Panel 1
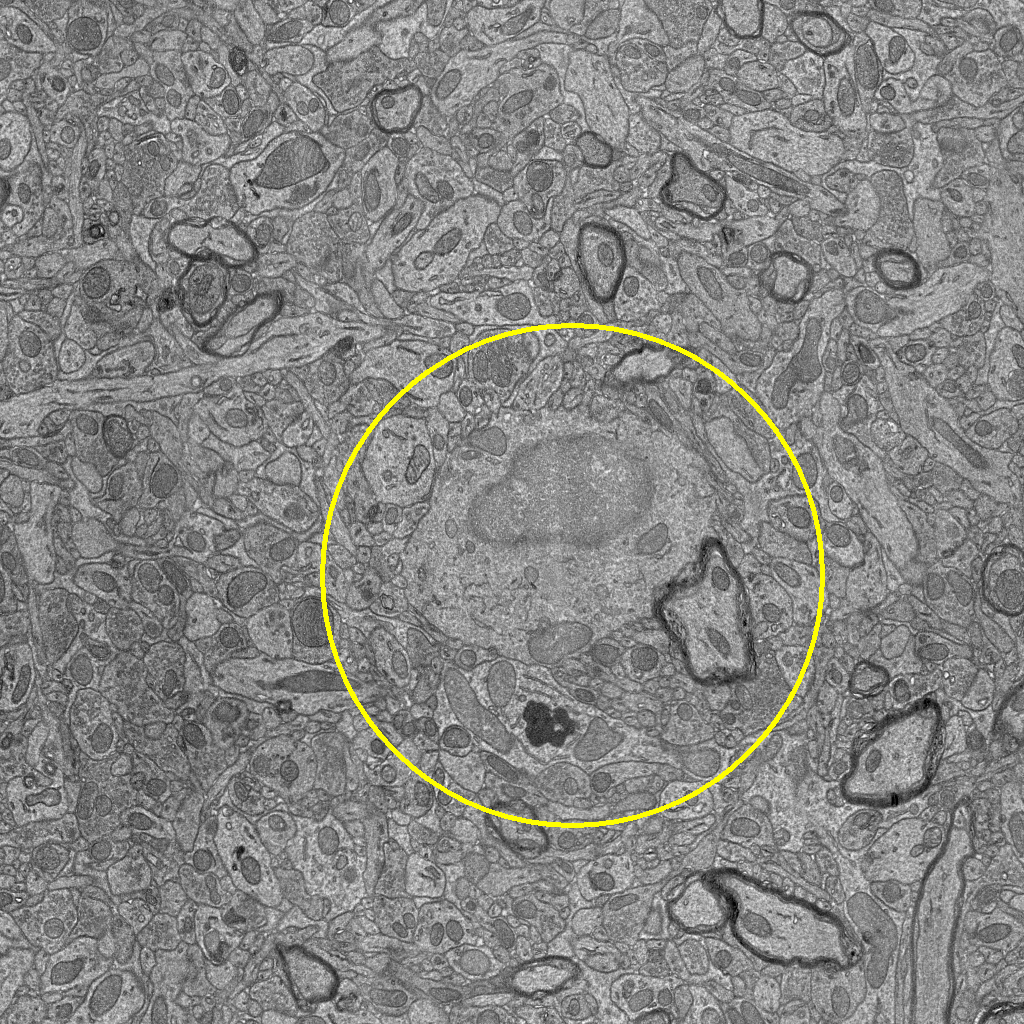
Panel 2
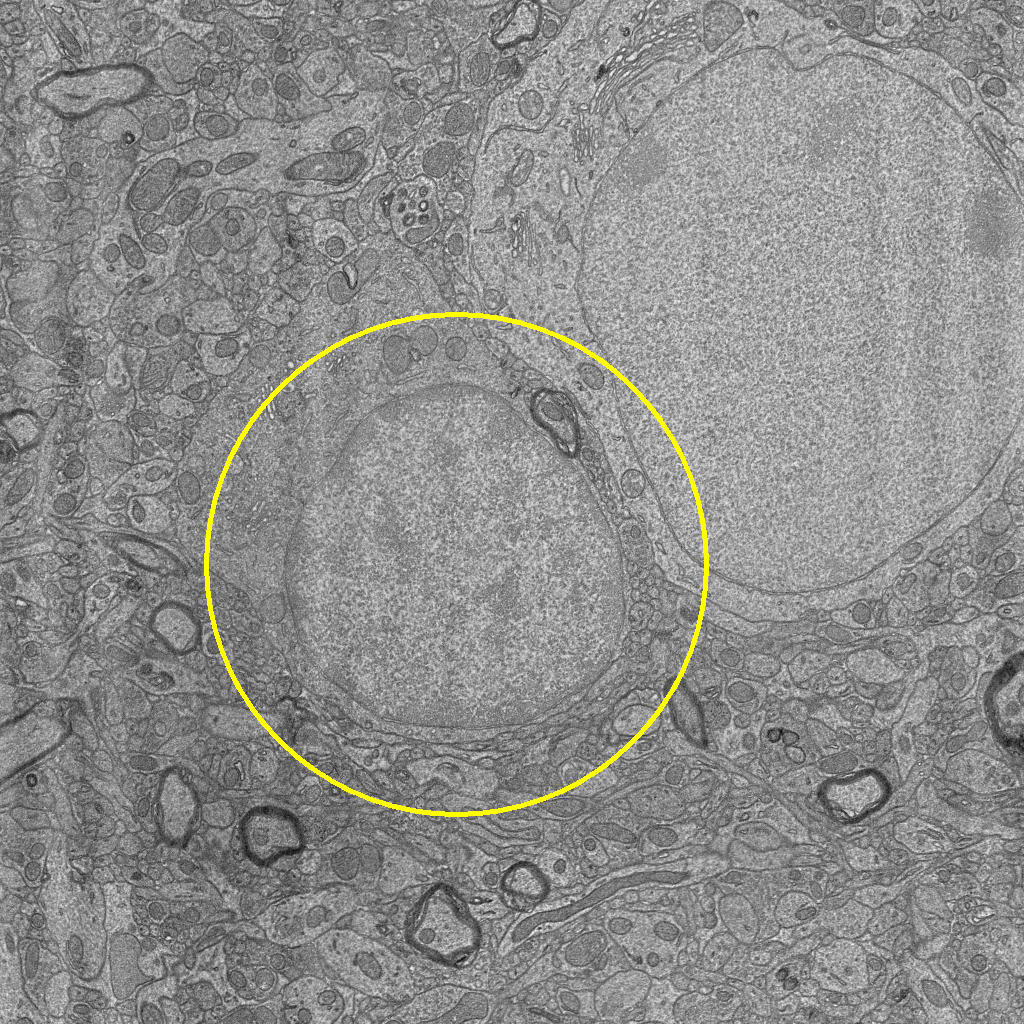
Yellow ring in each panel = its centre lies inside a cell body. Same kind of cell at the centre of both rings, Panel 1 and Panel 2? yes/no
yes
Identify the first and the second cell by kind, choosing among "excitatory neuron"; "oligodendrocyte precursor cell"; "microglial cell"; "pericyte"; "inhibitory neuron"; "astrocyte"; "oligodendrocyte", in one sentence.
Each of the two cells is an oligodendrocyte.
